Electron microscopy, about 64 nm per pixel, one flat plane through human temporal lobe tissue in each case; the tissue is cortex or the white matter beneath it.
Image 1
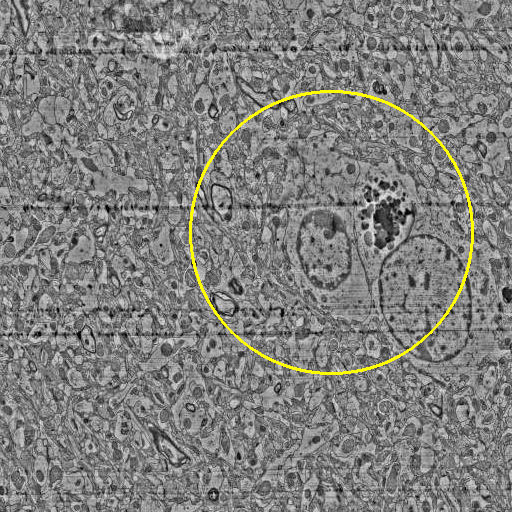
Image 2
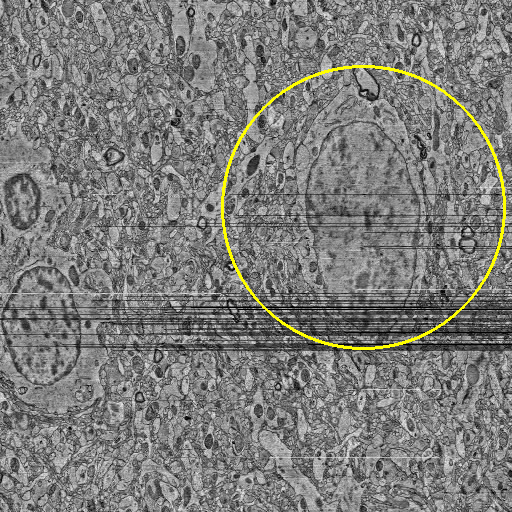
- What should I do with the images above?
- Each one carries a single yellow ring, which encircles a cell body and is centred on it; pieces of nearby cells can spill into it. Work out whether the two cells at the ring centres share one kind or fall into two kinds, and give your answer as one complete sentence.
The ring-centre cells of Image 1 and Image 2 fall into two kinds.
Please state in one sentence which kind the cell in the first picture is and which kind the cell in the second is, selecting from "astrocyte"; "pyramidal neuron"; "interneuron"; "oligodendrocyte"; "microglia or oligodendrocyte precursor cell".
The first ringed cell is an astrocyte, the second ringed cell an interneuron.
